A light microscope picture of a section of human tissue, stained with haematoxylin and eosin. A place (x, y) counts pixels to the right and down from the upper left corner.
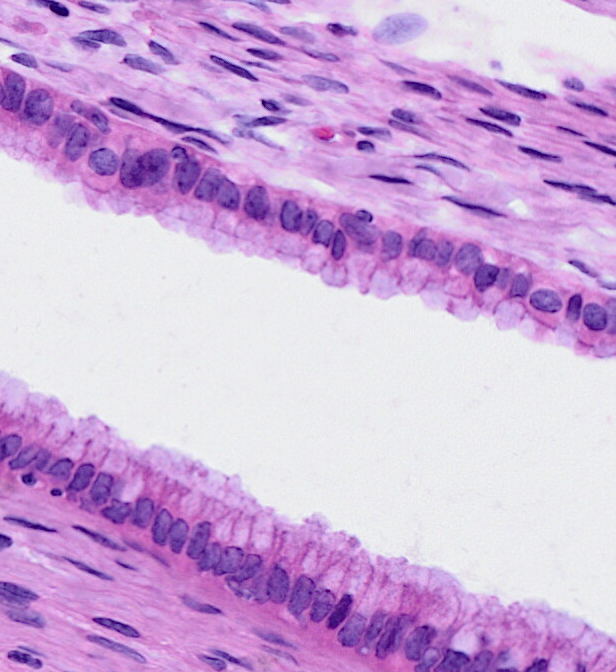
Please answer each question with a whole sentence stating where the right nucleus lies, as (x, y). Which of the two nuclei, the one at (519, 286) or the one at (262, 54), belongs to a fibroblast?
The cell to which the nucleus at (262, 54) belongs is a fibroblast.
